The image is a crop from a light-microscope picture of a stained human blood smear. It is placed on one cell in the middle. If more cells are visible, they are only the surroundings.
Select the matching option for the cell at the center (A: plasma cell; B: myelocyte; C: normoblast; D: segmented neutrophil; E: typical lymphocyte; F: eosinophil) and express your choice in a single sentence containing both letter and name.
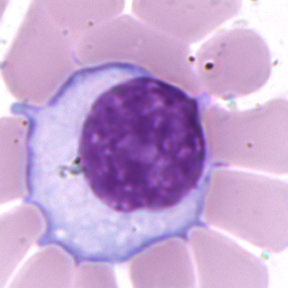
The one to choose is option A, as the cell in the middle is a plasma cell.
